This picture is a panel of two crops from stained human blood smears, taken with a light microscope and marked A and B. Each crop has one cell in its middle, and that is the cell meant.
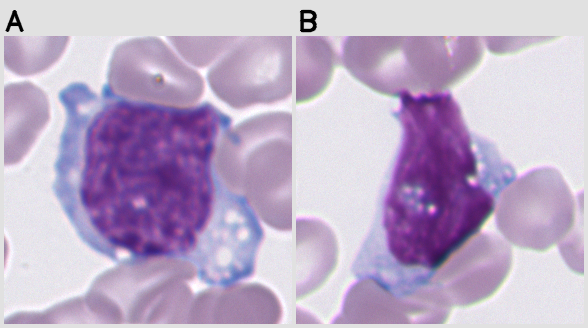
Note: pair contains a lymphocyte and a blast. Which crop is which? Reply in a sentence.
Crop A features a blast, while crop B features a lymphocyte.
